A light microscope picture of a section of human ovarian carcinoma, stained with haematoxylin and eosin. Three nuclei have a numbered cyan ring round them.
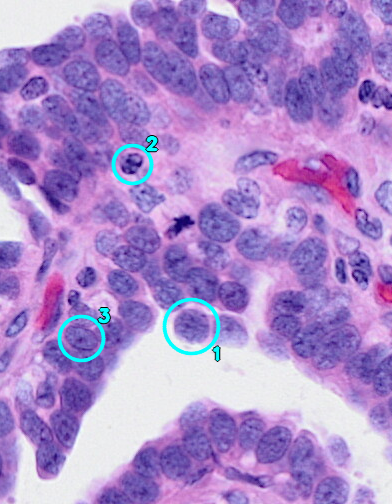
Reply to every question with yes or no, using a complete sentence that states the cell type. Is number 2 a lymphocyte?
Yes, number 2 corresponds to a lymphocyte.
